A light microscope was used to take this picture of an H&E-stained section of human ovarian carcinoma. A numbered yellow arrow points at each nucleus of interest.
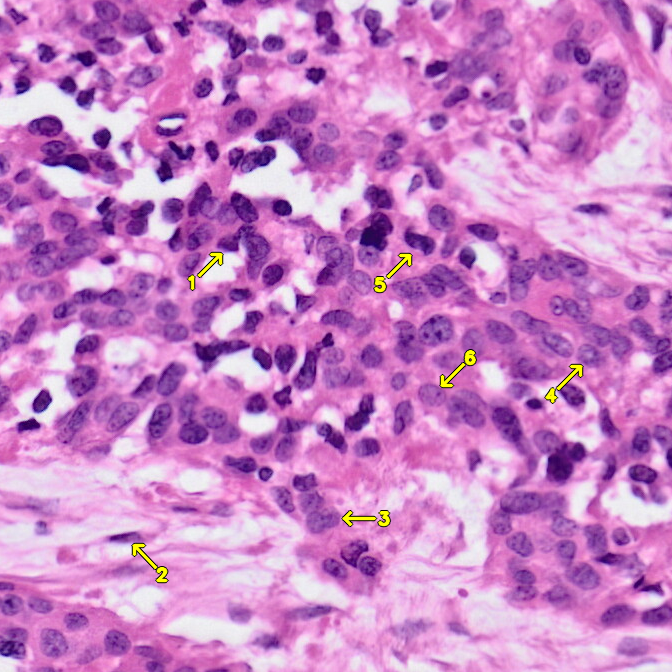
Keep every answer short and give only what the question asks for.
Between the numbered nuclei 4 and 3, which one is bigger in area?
4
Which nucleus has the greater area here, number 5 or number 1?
5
